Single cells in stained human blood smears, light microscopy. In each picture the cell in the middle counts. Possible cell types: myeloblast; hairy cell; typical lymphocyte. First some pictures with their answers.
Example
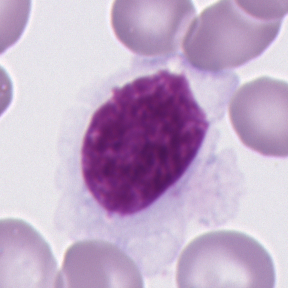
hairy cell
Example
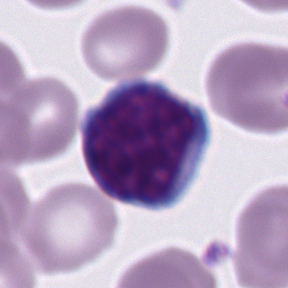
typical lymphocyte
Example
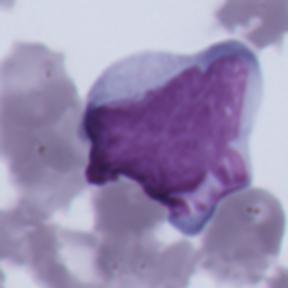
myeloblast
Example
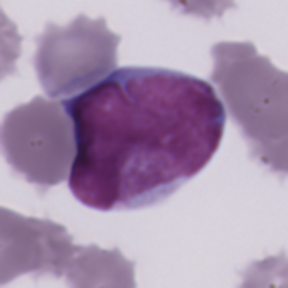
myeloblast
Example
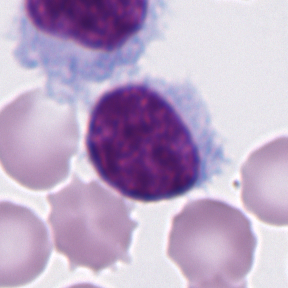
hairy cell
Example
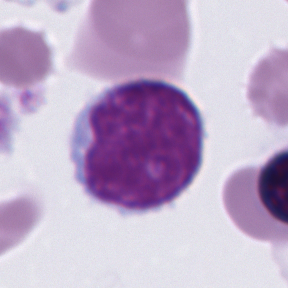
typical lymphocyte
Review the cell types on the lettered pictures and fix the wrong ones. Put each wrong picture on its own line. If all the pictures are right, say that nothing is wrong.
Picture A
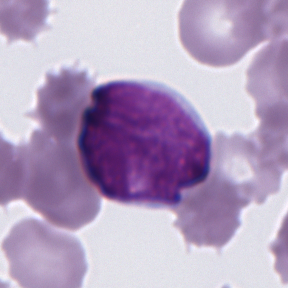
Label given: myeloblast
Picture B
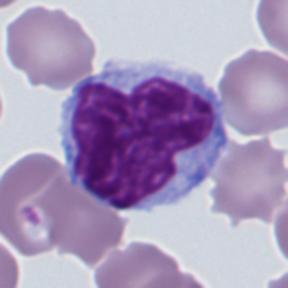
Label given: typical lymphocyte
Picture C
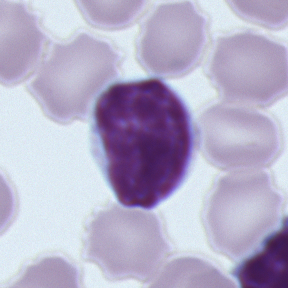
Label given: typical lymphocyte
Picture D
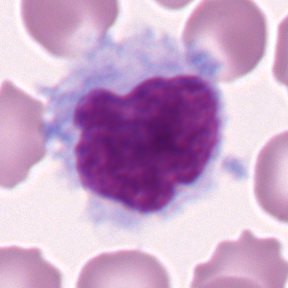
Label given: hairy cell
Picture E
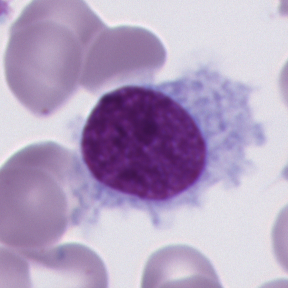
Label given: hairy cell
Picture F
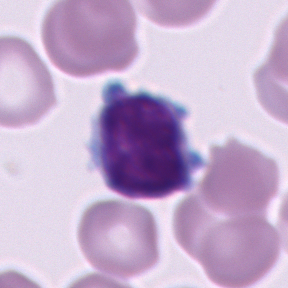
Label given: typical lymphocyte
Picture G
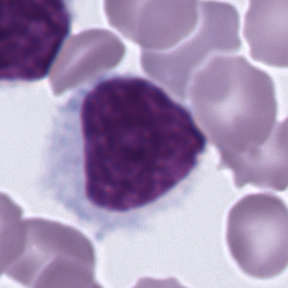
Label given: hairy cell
Every label is right.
